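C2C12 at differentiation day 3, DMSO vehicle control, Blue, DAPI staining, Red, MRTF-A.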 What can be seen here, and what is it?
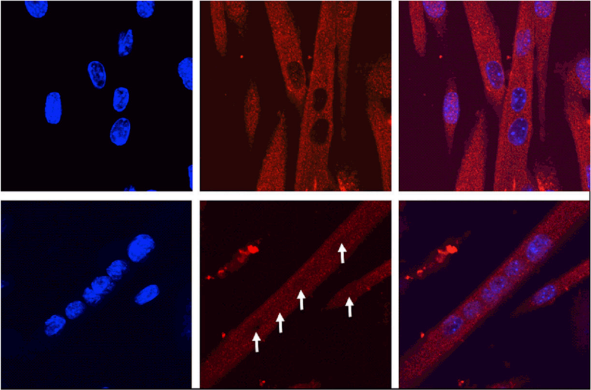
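These are cultured muscle cells fused into long tube-shaped myotubes, each carrying several oval nuclei lined up in a row along its length. The nuclei stain blue and the red stain fills the cytoplasm of the tubes, so in the merged pictures the blue nuclei lie inside the red tubes. Shorter spindle-shaped cells with a single nucleus lie alongside.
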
